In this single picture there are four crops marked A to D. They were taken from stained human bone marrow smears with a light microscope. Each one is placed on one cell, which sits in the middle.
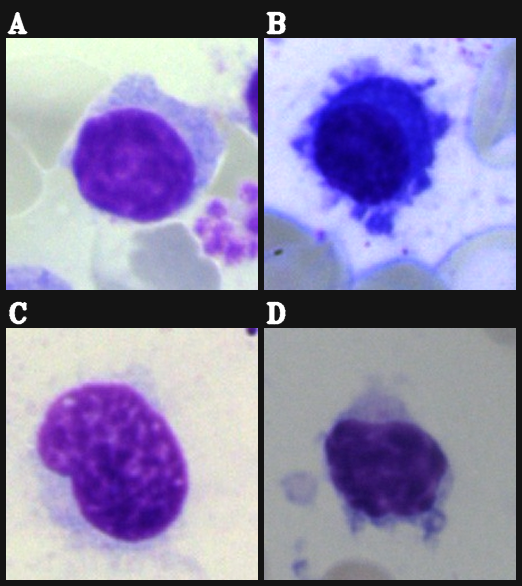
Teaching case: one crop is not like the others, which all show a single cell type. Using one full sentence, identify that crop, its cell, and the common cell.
All the crops show hairy cells, barring crop B, which is a plasma cell.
